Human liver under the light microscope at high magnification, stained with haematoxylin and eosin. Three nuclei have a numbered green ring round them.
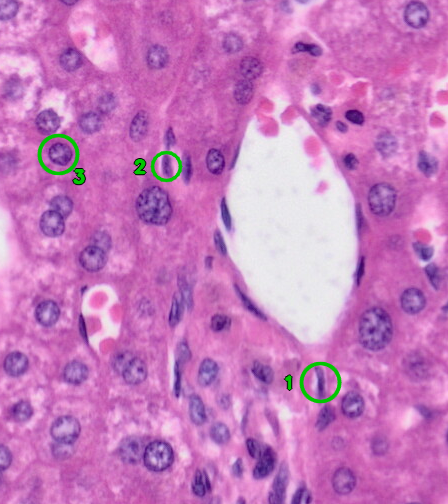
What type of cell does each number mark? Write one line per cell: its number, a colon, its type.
1: fibroblast or stellate cell
2: fibroblast or stellate cell
3: hepatocyte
